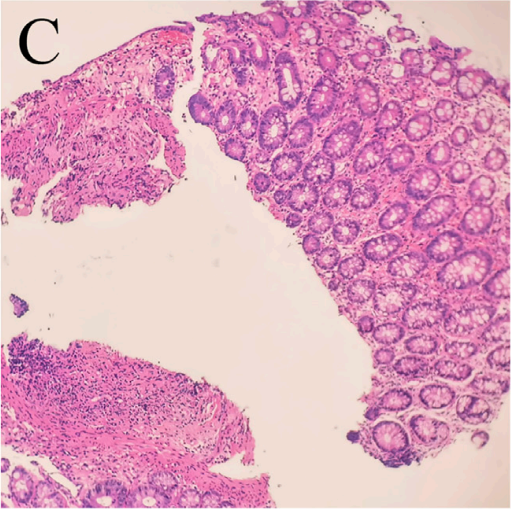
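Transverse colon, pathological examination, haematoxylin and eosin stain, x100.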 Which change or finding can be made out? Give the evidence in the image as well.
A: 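Mucosal ulcers. The tissue on the left is pink stroma with scattered cells instead of glandular mucosa. The intact mucosa on the right keeps regularly spaced crypts.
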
